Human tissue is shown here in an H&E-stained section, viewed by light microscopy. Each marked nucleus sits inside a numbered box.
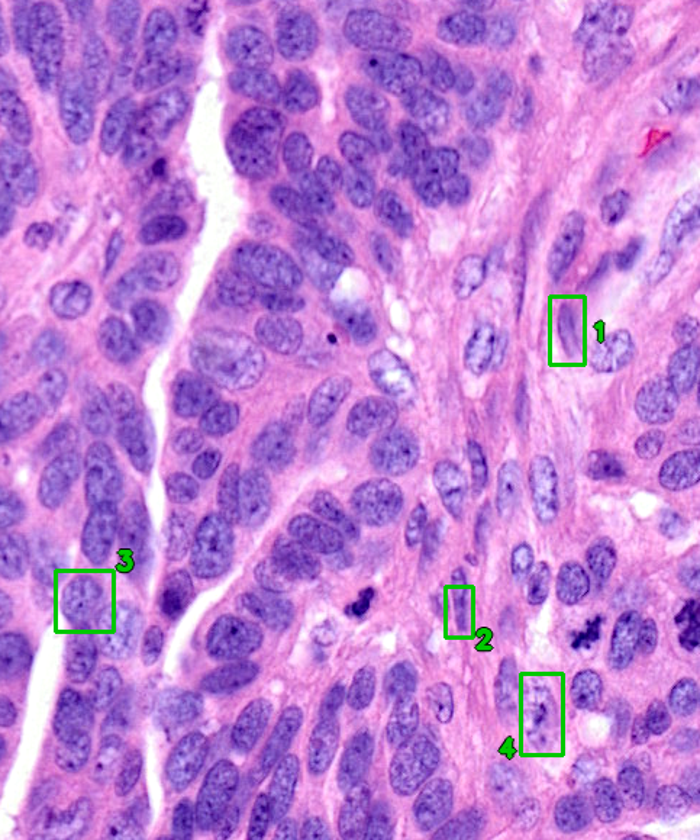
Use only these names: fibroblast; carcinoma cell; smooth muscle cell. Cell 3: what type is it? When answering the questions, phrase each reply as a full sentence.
Cell 3 of the marked set is a carcinoma cell.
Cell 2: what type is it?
Cell 2 should be recorded as a fibroblast.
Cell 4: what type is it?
The cell numbered 4 represents a fibroblast.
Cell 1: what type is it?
The cell numbered 1 represents a fibroblast.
